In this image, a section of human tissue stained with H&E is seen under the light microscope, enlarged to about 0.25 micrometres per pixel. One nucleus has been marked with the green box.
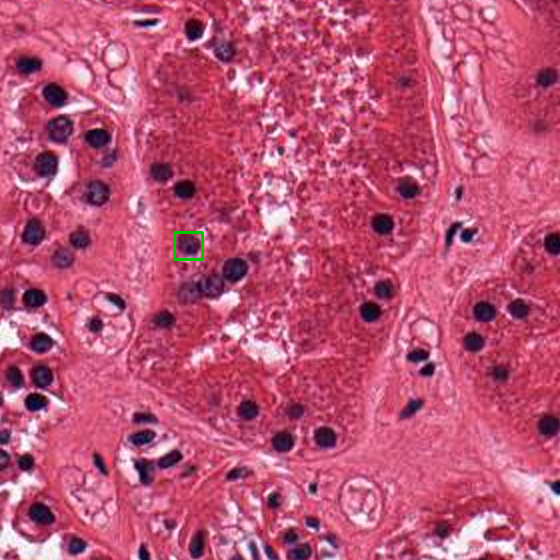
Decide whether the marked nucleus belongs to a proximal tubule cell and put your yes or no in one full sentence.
Yes, the marked nucleus is part of a proximal tubule cell.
